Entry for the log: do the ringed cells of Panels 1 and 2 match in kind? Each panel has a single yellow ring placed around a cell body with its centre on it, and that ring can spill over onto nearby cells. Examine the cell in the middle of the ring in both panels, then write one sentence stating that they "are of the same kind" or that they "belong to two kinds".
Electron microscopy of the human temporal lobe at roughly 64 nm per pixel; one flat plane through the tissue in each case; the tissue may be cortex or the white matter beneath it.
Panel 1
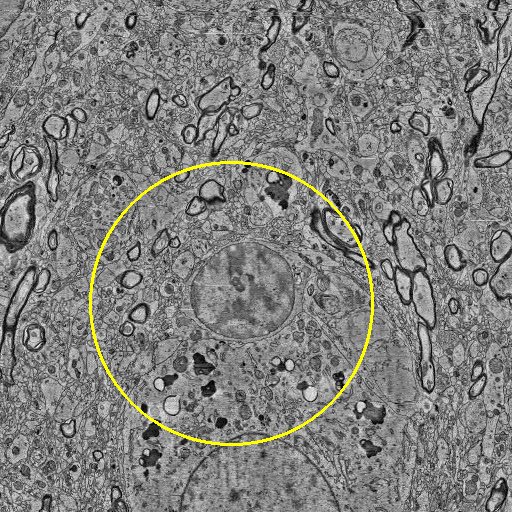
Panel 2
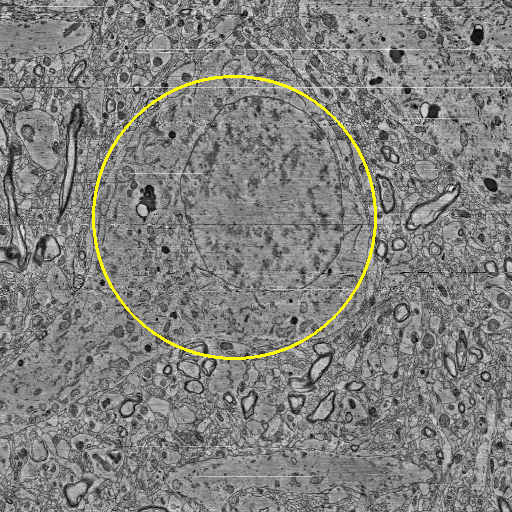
The centre cell of Panel 1's ring and that of Panel 2's ring belong to two kinds.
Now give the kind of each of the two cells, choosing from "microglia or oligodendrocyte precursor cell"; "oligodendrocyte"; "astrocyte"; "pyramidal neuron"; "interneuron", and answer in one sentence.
The cell in the first picture is an oligodendrocyte, and the cell in the second is a pyramidal neuron.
